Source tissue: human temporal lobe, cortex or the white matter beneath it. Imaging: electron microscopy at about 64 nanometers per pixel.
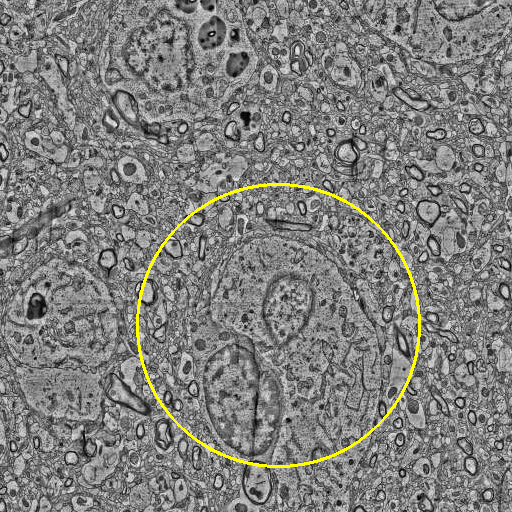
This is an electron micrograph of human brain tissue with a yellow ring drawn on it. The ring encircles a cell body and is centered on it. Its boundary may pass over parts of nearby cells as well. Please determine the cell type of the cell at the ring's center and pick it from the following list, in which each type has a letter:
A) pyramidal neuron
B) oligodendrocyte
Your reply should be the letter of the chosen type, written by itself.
A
